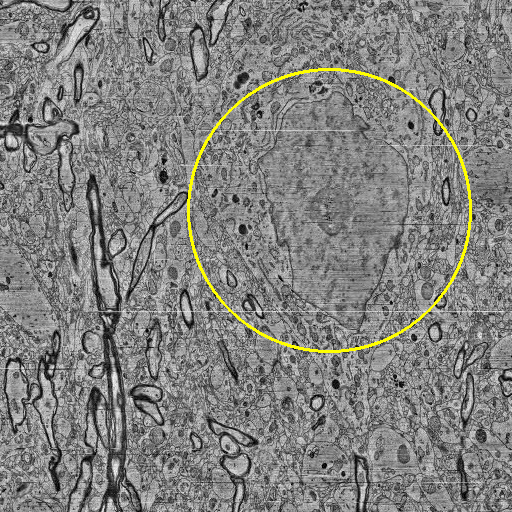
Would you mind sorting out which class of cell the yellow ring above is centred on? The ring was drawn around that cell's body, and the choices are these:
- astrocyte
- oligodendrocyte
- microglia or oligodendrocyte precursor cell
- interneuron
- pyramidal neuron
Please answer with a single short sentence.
This is the cell body of an interneuron.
